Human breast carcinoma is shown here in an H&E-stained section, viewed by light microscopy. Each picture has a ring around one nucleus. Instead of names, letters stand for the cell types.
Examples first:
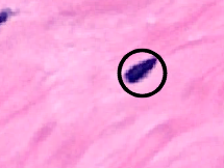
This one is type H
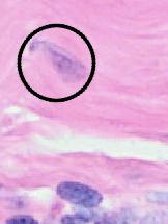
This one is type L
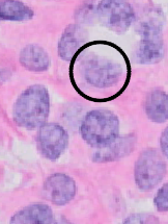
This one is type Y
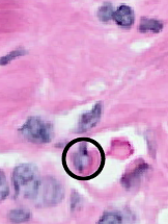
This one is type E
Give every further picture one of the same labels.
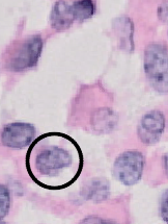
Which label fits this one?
type Y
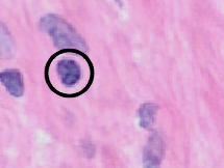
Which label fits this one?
type H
